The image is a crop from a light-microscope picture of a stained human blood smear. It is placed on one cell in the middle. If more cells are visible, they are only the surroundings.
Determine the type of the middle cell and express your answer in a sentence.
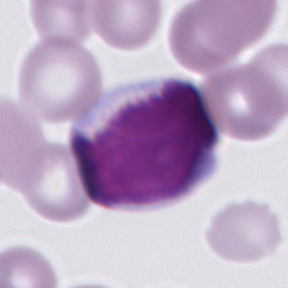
The cell marked by its central position in the crop is a large granular lymphocyte.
